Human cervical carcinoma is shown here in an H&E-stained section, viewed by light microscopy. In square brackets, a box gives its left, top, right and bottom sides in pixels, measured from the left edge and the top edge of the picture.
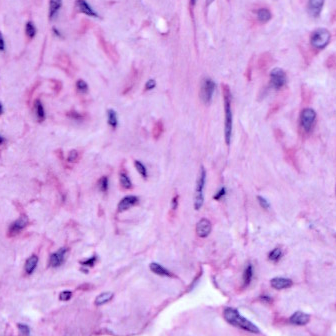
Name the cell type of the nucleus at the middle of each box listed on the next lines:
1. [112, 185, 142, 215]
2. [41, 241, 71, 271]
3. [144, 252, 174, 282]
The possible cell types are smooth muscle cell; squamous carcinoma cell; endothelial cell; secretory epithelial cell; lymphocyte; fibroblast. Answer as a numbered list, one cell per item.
1. smooth muscle cell
2. smooth muscle cell
3. fibroblast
